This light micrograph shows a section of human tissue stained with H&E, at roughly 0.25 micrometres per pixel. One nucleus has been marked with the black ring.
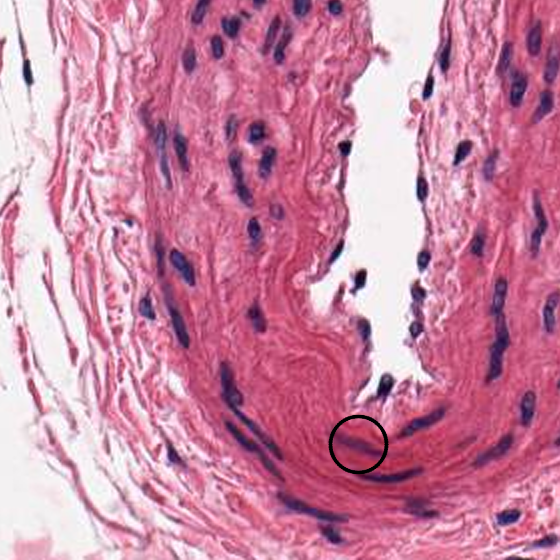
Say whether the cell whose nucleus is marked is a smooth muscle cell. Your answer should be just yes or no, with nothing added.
yes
